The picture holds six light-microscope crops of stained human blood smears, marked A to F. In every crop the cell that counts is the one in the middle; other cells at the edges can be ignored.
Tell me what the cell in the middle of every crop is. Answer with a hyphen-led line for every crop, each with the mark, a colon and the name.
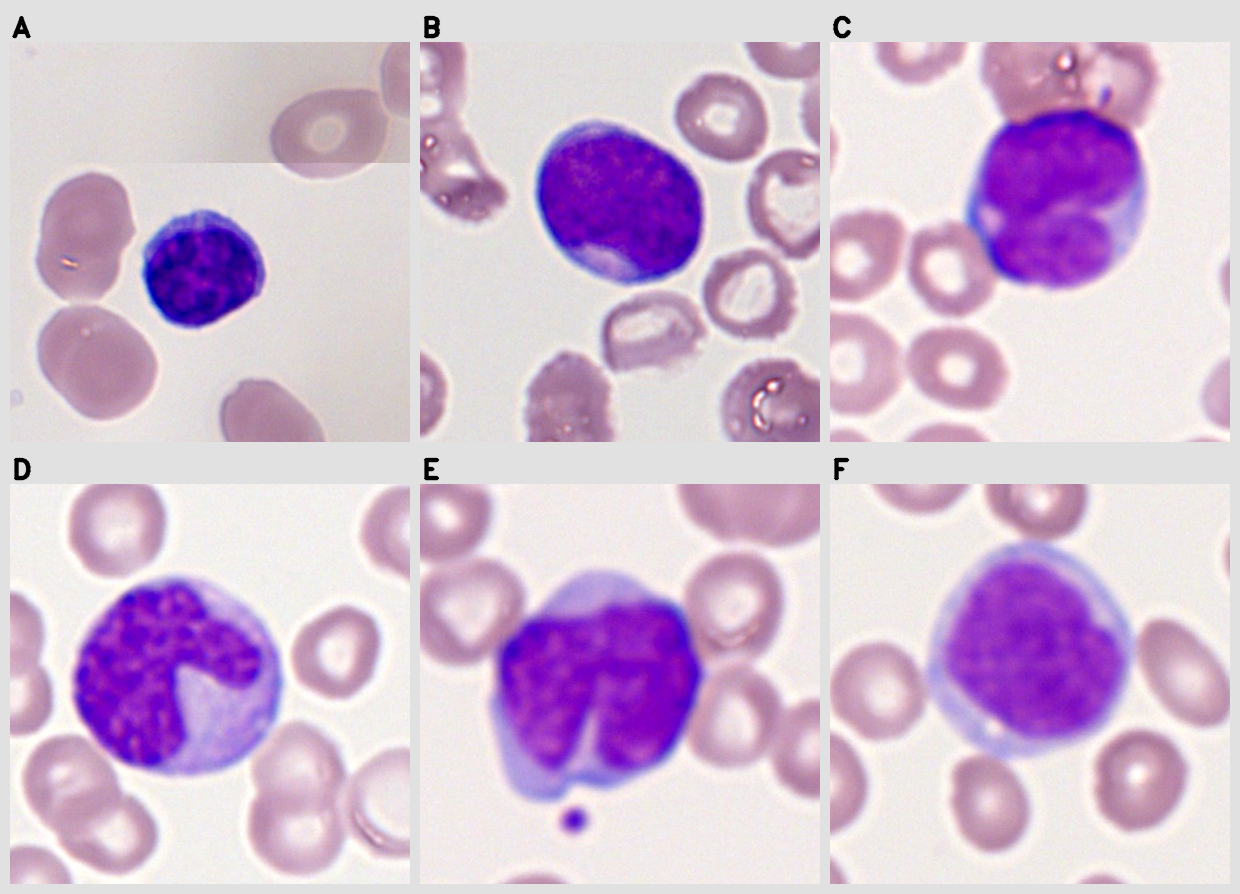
- A: lymphocyte
- B: blast
- C: blast
- D: monocyte
- E: monocyte
- F: blast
